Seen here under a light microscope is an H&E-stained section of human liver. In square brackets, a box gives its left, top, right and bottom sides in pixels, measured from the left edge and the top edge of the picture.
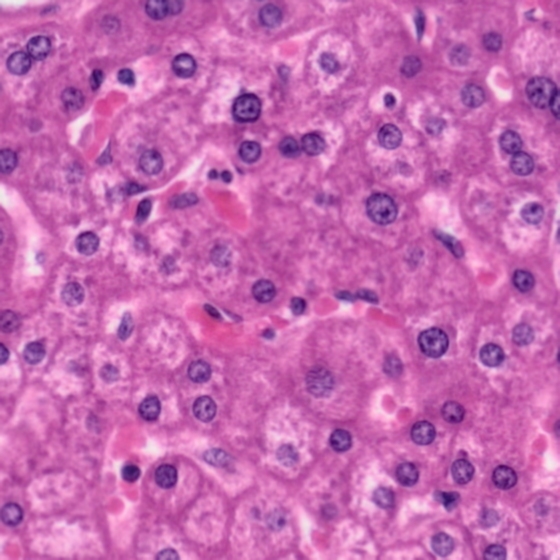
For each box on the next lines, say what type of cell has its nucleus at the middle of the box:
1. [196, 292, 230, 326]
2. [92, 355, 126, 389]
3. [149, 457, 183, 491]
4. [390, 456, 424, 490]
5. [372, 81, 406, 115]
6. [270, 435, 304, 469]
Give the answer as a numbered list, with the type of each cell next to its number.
1. endothelial cell
2. hepatocyte
3. hepatocyte
4. hepatocyte
5. lymphocyte
6. hepatocyte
